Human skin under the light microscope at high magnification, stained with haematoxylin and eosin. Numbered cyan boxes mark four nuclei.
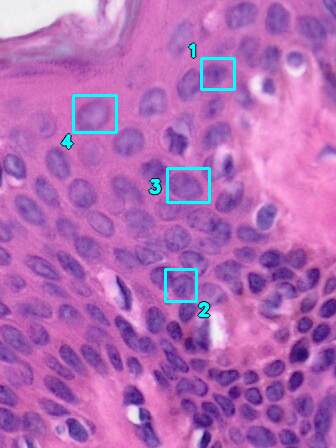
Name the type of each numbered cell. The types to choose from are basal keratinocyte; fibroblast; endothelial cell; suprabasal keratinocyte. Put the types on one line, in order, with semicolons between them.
suprabasal keratinocyte; basal keratinocyte; basal keratinocyte; suprabasal keratinocyte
